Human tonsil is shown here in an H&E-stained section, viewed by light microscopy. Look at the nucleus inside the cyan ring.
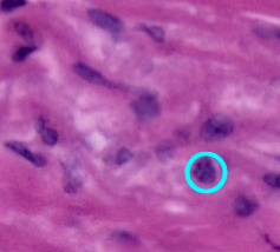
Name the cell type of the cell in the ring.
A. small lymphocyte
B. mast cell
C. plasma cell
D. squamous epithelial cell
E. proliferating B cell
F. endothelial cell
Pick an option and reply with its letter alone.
B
